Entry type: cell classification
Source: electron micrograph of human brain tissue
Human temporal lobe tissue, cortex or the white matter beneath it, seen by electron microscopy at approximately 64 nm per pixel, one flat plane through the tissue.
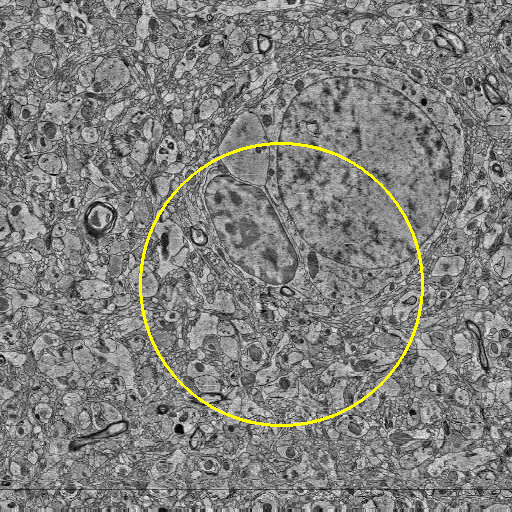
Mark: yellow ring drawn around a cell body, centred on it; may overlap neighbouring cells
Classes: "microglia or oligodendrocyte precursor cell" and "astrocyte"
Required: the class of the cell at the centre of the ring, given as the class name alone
microglia or oligodendrocyte precursor cell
